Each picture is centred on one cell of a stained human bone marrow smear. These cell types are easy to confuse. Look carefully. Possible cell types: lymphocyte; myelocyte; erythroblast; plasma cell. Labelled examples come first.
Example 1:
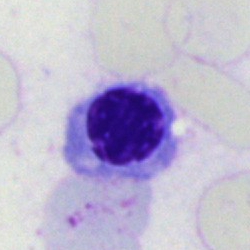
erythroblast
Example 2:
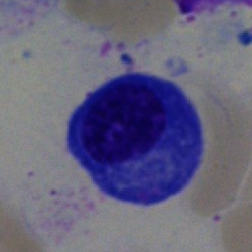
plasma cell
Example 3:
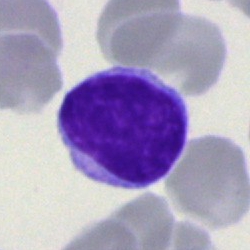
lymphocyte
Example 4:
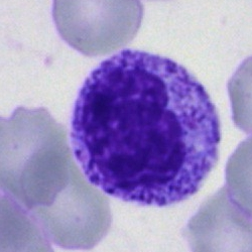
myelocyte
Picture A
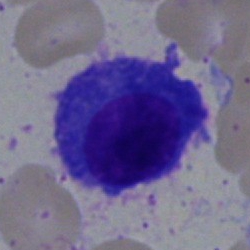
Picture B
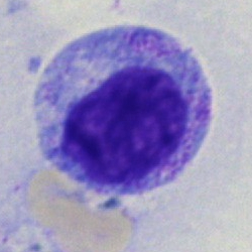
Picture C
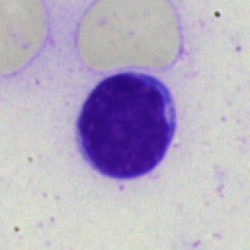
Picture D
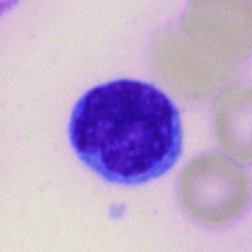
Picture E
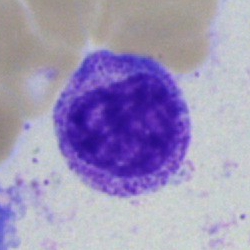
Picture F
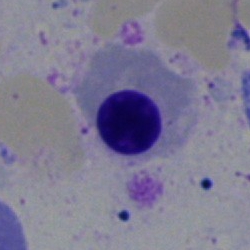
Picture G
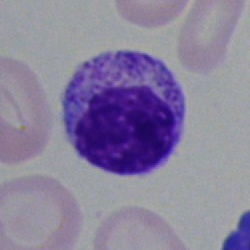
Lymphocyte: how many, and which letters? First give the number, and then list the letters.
Count: 2 (C, D)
